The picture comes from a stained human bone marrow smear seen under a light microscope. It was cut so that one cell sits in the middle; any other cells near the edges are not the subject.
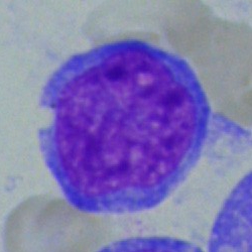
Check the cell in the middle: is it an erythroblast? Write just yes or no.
no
